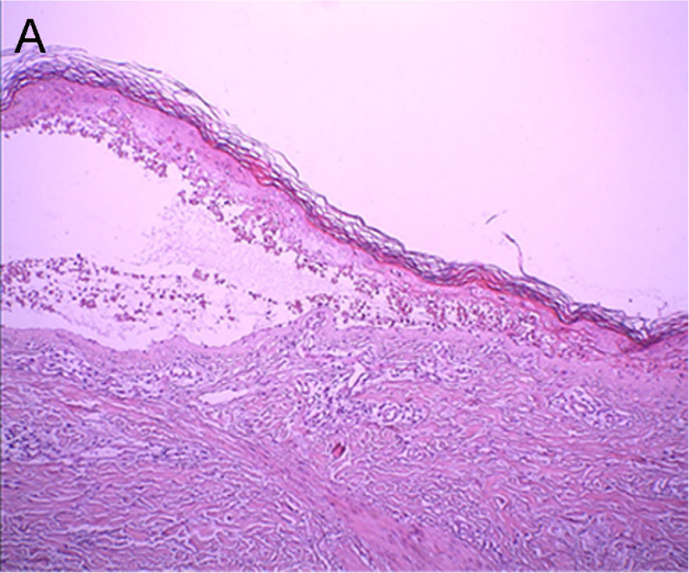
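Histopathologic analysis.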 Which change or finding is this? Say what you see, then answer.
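A large fluid-filled cleft lies within the epidermis. The roof of the cleft is a thin layer of epidermis with its cornified layer. Detached cells float in the pale space of the cleft. So: blister formation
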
